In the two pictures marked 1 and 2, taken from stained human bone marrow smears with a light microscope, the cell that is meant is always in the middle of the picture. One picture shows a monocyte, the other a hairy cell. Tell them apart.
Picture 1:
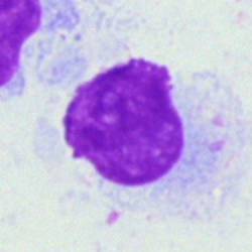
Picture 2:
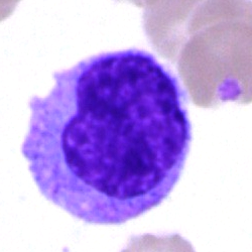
1: hairy cell
2: monocyte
